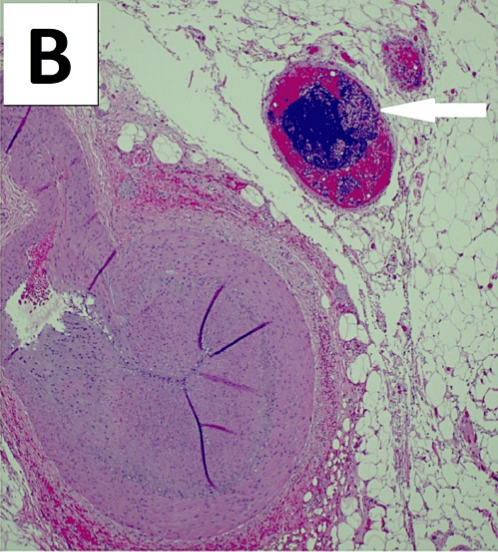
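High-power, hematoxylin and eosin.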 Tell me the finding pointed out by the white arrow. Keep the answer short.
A: Tumor emboli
